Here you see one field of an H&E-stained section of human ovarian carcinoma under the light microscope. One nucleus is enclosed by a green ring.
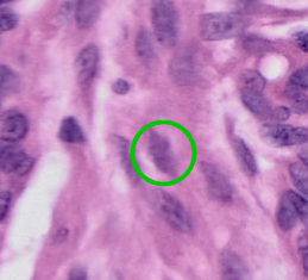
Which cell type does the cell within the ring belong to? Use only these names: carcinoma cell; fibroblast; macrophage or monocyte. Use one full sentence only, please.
Assigned to a cell type, the cell within the ring is a fibroblast.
